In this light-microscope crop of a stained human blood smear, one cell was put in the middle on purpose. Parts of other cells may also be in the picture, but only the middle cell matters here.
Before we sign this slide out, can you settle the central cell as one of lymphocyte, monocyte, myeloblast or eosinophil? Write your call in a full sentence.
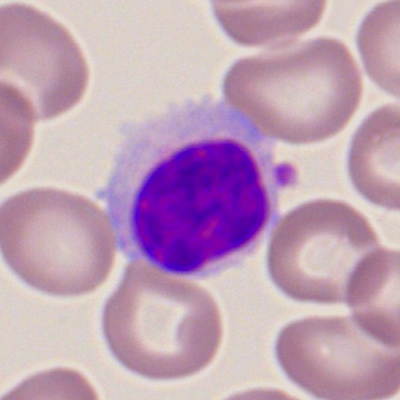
The middle of this crop is occupied by a lymphocyte.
